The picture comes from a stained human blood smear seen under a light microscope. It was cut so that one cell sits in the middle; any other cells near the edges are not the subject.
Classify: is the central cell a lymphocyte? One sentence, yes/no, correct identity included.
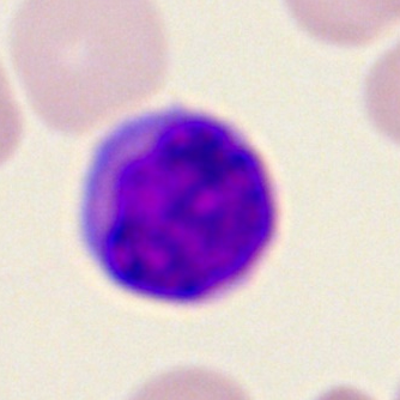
Yes, the cell shown centrally is a lymphocyte.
